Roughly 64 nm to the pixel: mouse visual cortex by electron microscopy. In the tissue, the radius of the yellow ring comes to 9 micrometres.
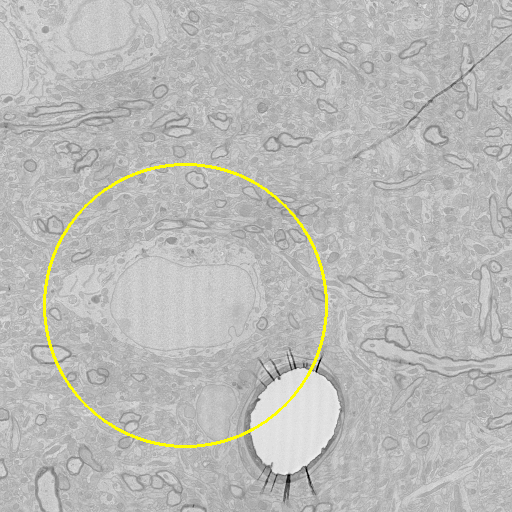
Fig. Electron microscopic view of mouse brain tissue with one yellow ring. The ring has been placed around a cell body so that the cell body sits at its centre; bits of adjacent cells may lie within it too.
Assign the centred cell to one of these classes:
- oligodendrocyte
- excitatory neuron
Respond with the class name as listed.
excitatory neuron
